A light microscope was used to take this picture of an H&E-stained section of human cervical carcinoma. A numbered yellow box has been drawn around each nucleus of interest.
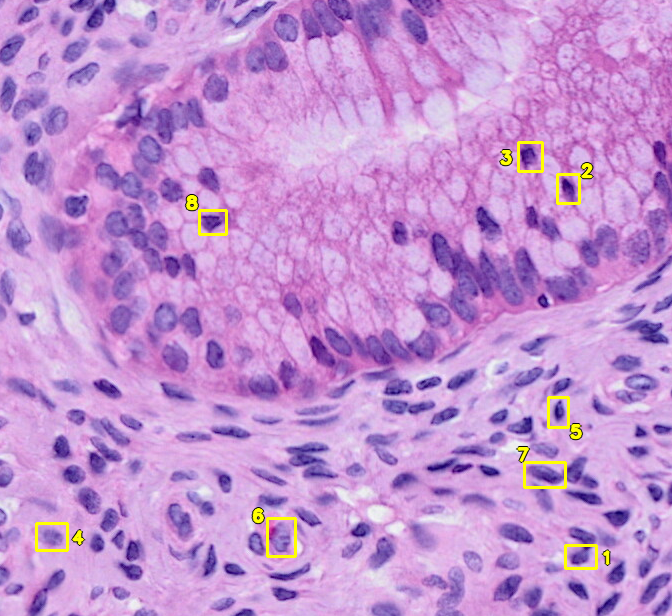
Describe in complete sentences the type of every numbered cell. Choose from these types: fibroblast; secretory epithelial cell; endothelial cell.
Cells 1, 4, 5 and 7 are fibroblasts. Cells 2, 3 and 8 are secretory epithelial cells. Cell 6 is an endothelial cell.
